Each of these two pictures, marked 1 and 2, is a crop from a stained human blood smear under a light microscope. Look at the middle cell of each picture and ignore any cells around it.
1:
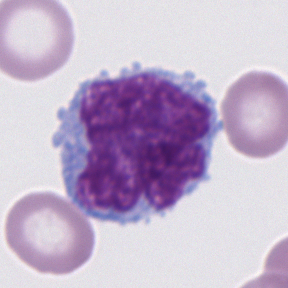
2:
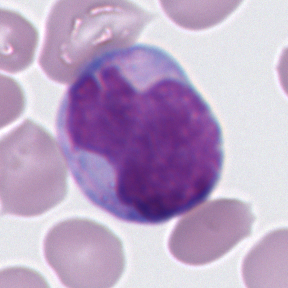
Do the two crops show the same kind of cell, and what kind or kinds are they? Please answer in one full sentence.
No, the cell in crop 1 is a monocyte and the one in crop 2 is an atypical promyelocyte.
